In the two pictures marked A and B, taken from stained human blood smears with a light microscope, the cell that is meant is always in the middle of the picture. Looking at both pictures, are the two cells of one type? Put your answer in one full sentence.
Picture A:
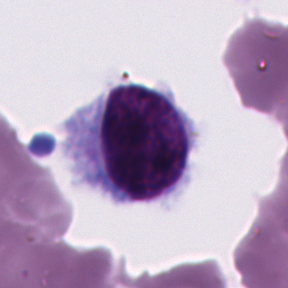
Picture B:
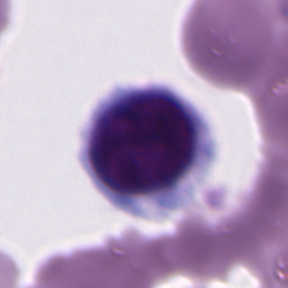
Yes; the cells in both pictures are hairy cells.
